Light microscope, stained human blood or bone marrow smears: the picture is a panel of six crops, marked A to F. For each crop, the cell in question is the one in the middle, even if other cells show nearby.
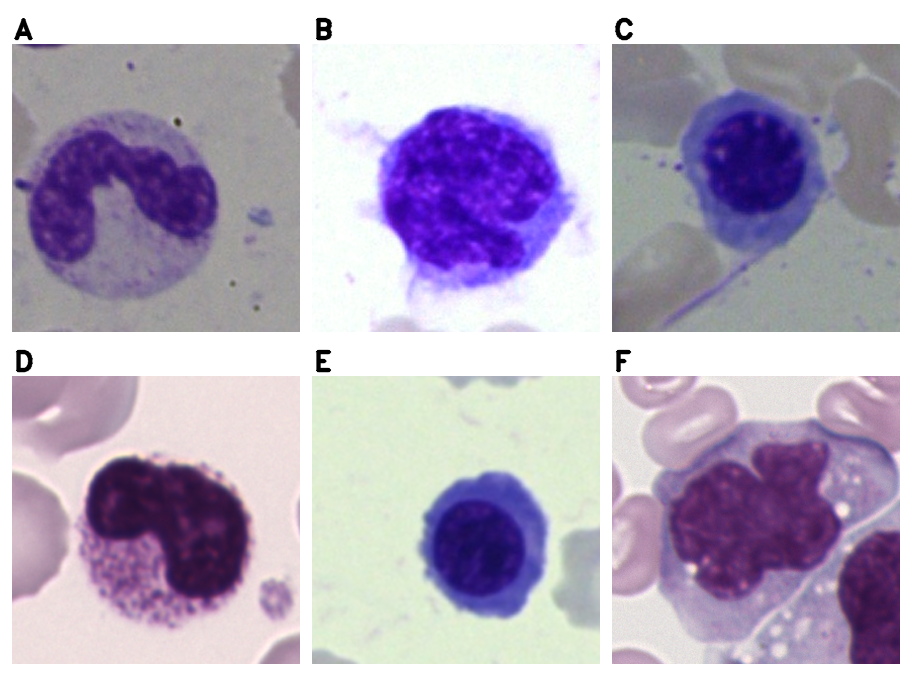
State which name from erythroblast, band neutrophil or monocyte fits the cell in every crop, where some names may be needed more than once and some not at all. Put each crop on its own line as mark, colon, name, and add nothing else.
A: band neutrophil
B: monocyte
C: erythroblast
D: band neutrophil
E: erythroblast
F: monocyte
